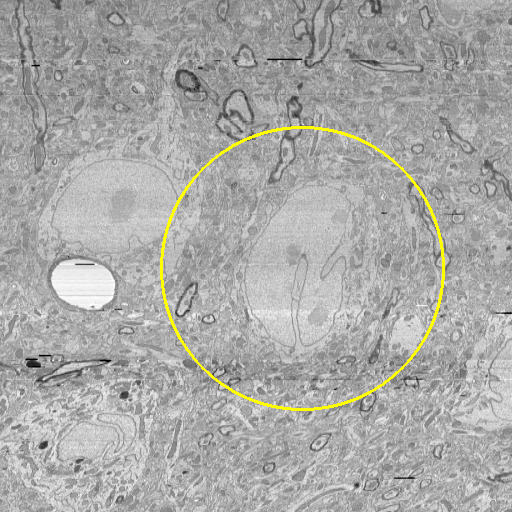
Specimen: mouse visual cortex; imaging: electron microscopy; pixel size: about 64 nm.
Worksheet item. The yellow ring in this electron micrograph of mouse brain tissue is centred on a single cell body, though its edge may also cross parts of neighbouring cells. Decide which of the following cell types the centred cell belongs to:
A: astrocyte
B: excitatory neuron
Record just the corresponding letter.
B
